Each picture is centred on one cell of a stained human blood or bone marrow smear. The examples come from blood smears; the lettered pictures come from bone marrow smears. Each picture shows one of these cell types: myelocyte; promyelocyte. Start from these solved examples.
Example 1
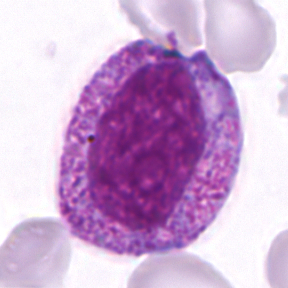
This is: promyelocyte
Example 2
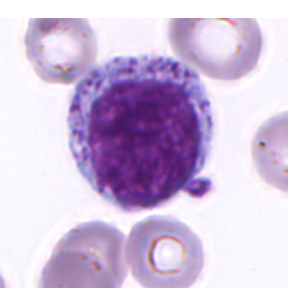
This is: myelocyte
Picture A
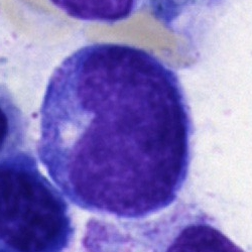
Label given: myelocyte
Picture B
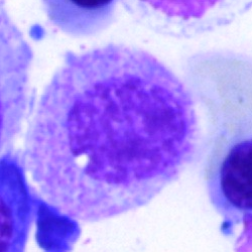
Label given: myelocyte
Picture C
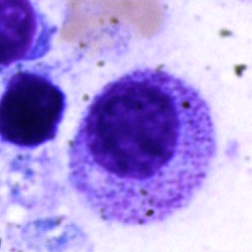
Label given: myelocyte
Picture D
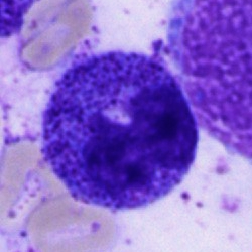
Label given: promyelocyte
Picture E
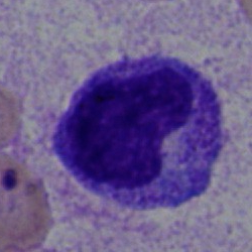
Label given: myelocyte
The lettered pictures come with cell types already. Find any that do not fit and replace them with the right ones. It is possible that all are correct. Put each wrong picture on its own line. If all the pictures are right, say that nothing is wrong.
A: not myelocyte but promyelocyte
